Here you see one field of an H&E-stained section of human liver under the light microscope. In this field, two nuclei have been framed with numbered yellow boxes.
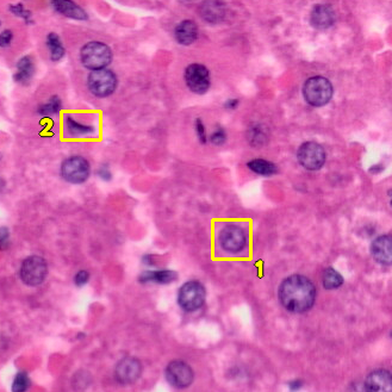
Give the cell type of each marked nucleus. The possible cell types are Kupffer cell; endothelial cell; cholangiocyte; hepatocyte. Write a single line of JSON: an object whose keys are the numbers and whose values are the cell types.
{"1": "hepatocyte", "2": "endothelial cell"}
